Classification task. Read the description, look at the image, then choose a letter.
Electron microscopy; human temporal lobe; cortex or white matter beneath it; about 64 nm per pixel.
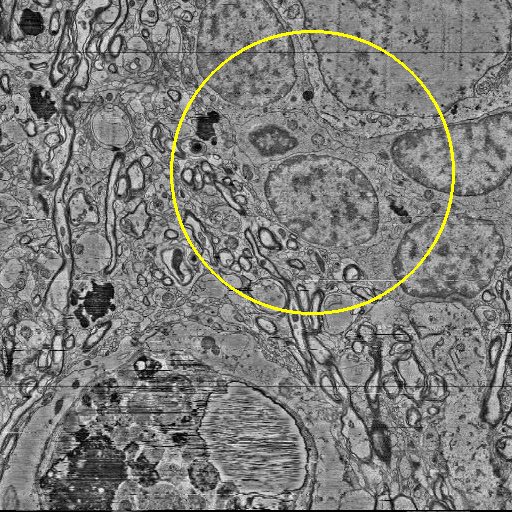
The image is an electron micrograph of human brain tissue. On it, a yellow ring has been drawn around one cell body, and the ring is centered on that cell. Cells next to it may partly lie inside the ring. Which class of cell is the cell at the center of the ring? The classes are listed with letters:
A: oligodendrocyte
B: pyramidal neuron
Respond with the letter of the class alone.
A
